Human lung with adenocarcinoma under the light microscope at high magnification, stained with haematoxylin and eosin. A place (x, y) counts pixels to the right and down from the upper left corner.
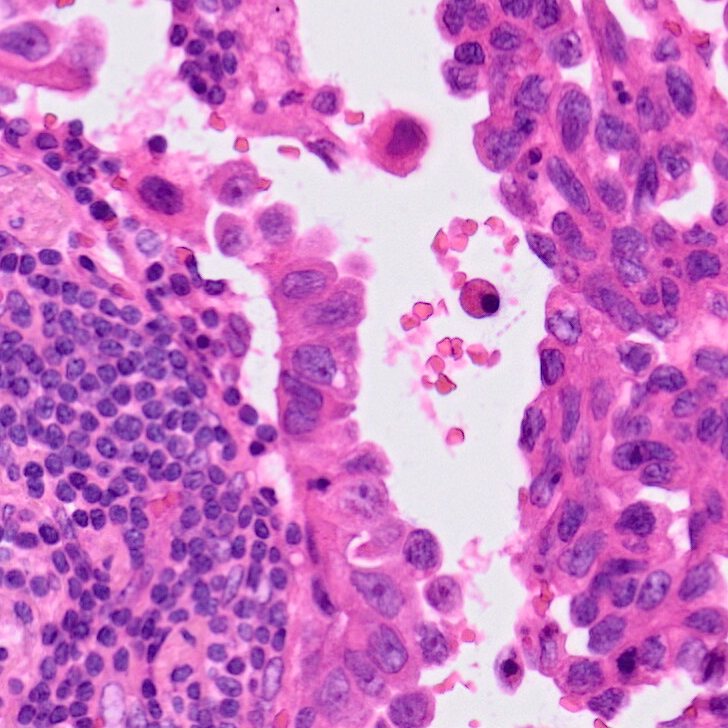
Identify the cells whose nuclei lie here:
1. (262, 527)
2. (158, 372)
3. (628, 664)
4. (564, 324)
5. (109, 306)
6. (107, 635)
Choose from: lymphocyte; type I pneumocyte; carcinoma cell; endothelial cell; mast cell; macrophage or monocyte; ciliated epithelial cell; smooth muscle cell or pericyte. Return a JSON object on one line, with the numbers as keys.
{"1": "lymphocyte", "2": "lymphocyte", "3": "carcinoma cell", "4": "carcinoma cell", "5": "lymphocyte", "6": "lymphocyte"}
